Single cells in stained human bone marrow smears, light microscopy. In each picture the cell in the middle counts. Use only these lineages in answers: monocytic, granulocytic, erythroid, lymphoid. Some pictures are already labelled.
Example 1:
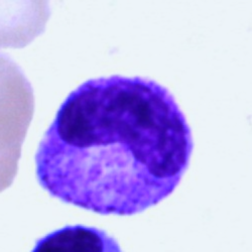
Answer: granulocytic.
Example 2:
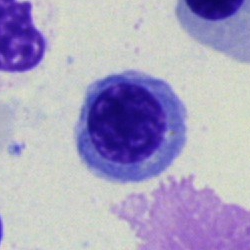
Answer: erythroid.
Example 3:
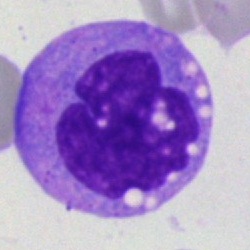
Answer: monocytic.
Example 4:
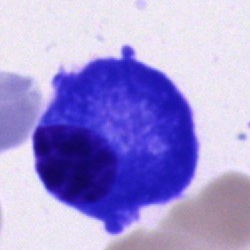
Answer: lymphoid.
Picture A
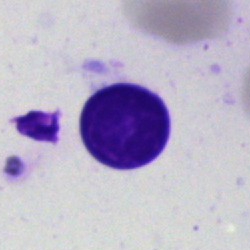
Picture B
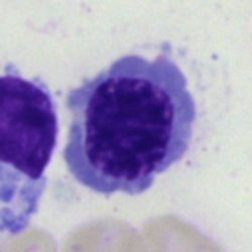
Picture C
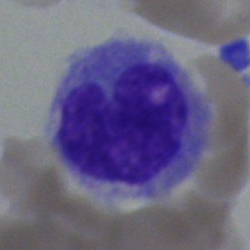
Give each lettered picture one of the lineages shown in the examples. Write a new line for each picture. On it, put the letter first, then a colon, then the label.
A: lymphoid.
B: erythroid.
C: monocytic.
